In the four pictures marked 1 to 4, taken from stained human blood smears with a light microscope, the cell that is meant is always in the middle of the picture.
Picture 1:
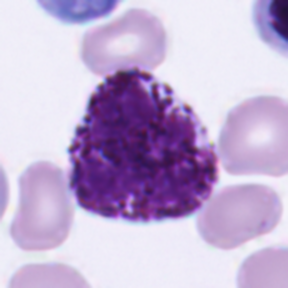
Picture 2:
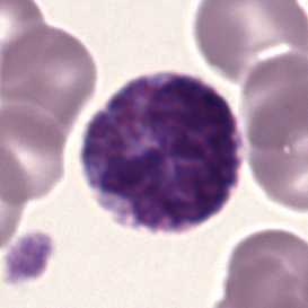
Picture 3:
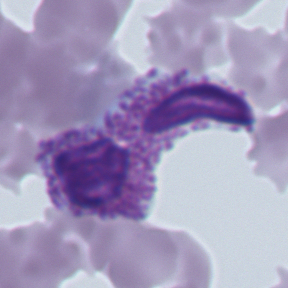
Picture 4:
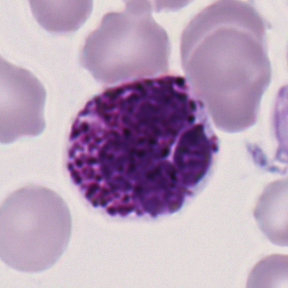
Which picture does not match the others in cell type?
3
